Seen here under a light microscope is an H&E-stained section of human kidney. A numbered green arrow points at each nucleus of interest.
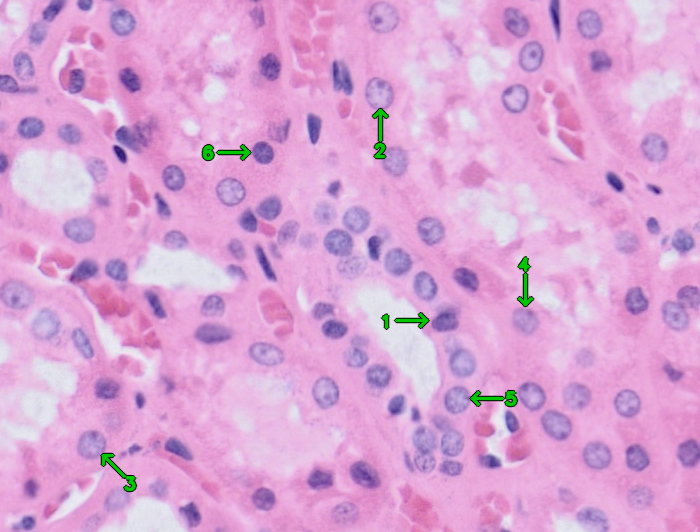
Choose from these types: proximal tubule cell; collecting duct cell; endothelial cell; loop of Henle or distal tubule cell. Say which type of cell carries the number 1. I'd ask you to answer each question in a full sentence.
Identified by the number 1, the cell is a collecting duct cell.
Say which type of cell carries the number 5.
Corresponding to a collecting duct cell is the cell labelled 5.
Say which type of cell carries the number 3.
The cell assigned the number 3 is a proximal tubule cell.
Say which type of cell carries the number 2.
The cell with the number 2 is a proximal tubule cell.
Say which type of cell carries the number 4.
The cell indicated with the number 4 is classed as a proximal tubule cell.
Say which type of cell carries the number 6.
Classified as a proximal tubule cell is the cell with the number 6.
